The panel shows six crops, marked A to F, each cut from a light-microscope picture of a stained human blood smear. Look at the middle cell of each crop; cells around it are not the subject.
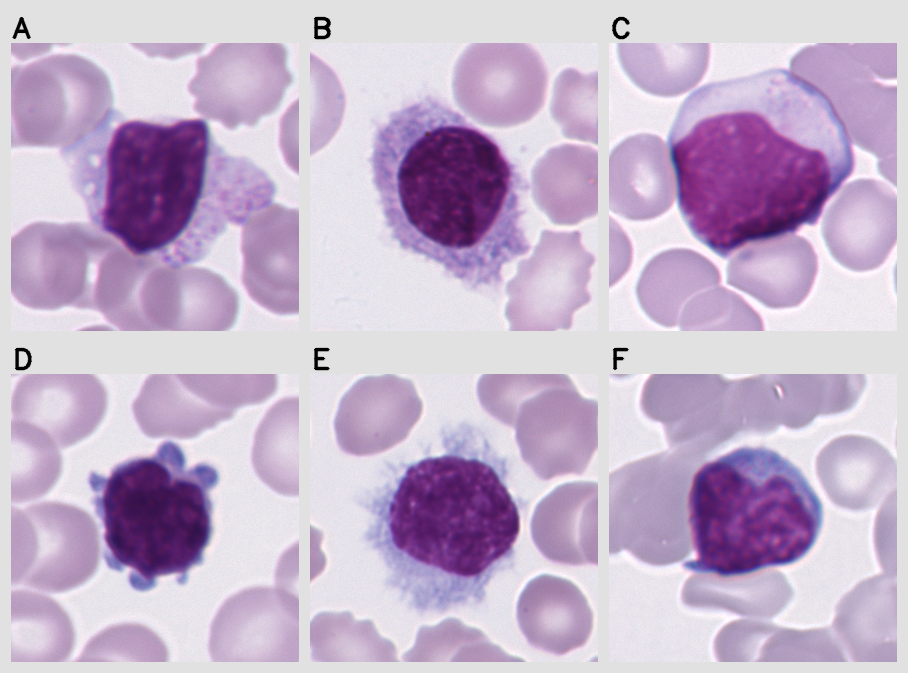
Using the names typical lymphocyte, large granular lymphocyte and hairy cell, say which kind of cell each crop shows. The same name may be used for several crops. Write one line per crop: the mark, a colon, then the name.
A: large granular lymphocyte
B: hairy cell
C: large granular lymphocyte
D: typical lymphocyte
E: hairy cell
F: typical lymphocyte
